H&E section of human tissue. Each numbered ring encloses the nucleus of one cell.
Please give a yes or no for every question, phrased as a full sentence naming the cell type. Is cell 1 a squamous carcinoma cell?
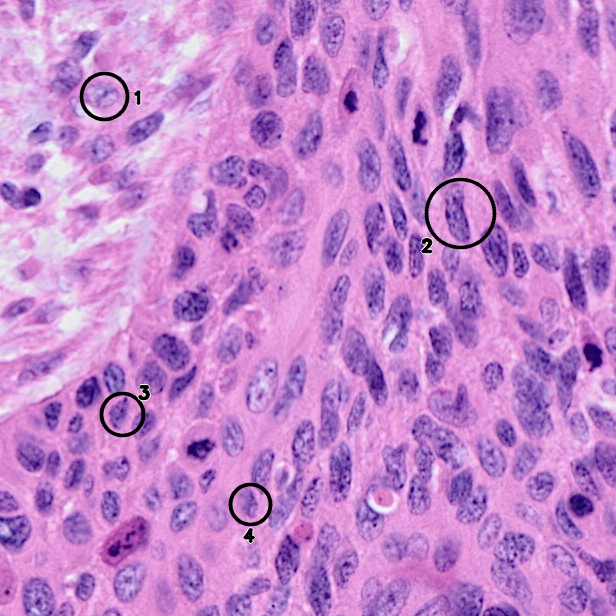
No, cell 1 is an endothelial cell, not a squamous carcinoma cell.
